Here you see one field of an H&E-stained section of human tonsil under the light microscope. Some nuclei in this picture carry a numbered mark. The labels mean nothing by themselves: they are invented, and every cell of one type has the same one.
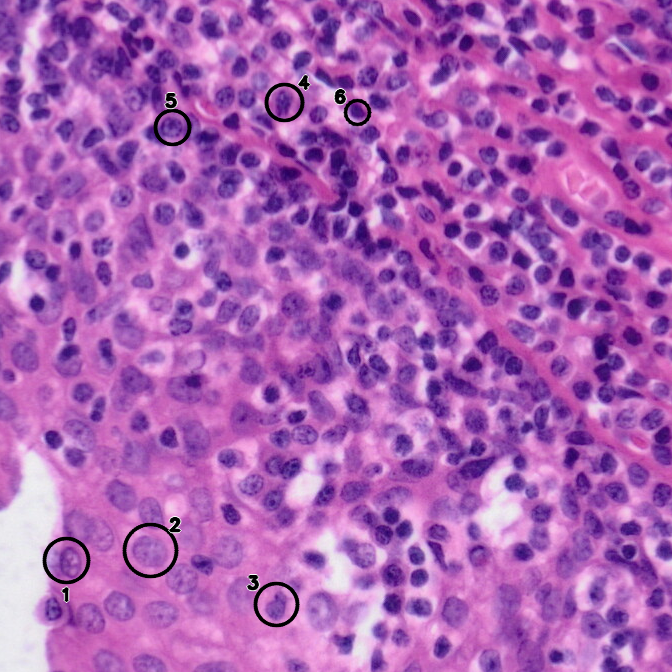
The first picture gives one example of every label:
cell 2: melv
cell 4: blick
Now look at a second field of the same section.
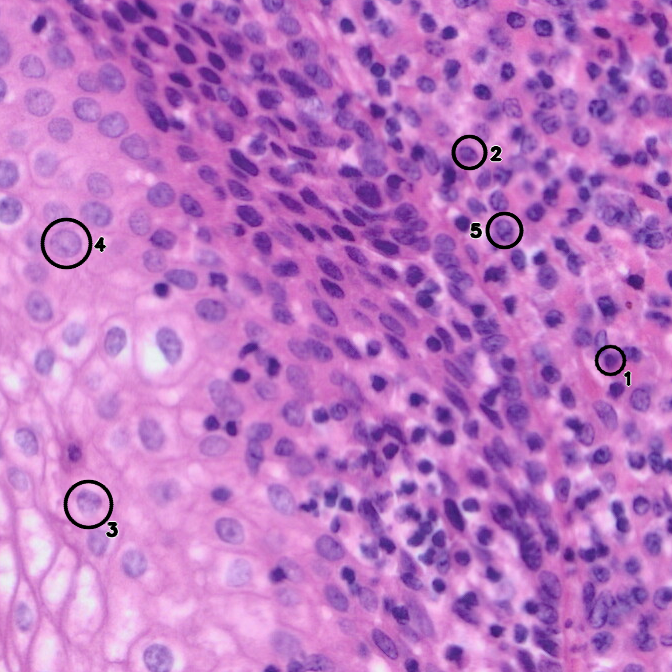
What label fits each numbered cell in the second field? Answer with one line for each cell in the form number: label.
1: blick
2: blick
3: melv
4: melv
5: blick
